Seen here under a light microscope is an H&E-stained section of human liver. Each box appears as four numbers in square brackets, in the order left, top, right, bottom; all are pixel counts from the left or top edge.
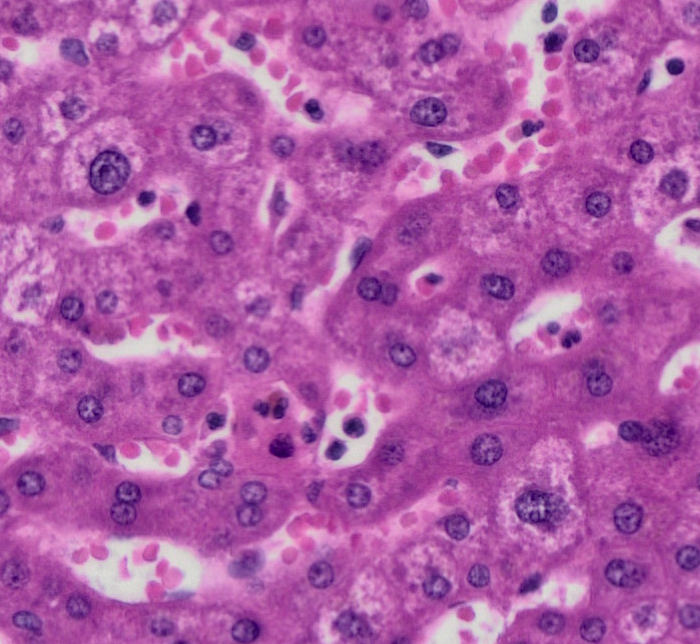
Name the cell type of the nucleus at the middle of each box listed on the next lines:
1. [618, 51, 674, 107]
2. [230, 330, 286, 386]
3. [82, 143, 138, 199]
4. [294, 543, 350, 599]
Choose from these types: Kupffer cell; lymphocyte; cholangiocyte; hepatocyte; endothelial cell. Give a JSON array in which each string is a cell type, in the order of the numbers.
["endothelial cell", "hepatocyte", "hepatocyte", "hepatocyte"]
